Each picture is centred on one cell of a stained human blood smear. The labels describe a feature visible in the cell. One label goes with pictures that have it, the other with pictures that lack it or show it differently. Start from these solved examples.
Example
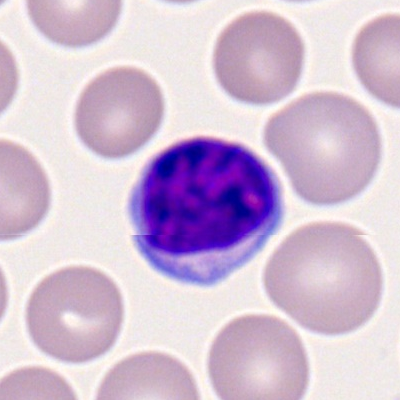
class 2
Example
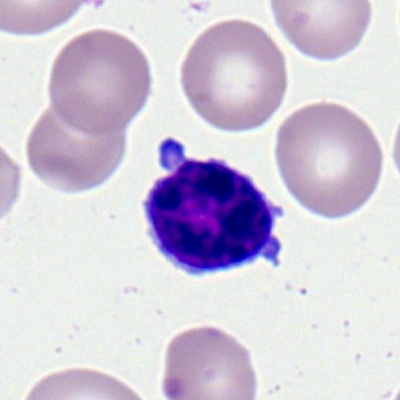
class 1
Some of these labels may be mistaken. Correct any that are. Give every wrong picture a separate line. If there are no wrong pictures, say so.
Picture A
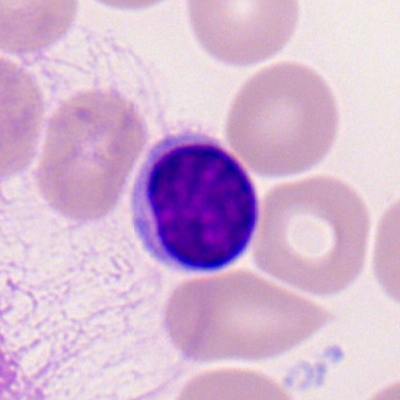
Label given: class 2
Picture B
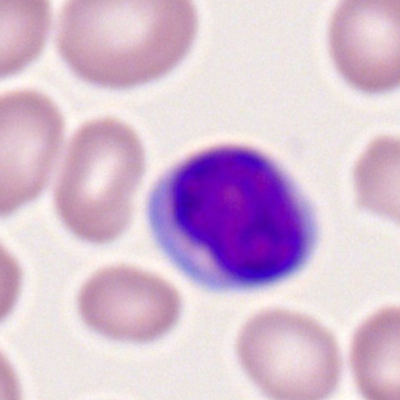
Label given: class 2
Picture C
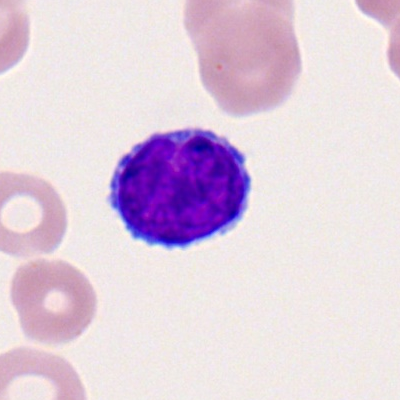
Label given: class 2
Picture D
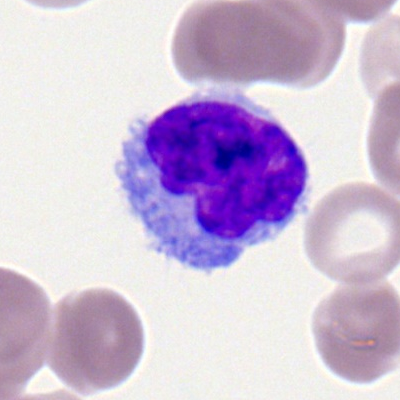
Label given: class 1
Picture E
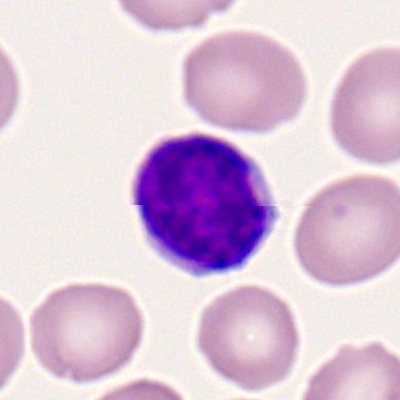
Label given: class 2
C: change class 2 to class 1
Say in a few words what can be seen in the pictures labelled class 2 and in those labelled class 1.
class 2: smooth outline; class 1: ragged outline or projections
